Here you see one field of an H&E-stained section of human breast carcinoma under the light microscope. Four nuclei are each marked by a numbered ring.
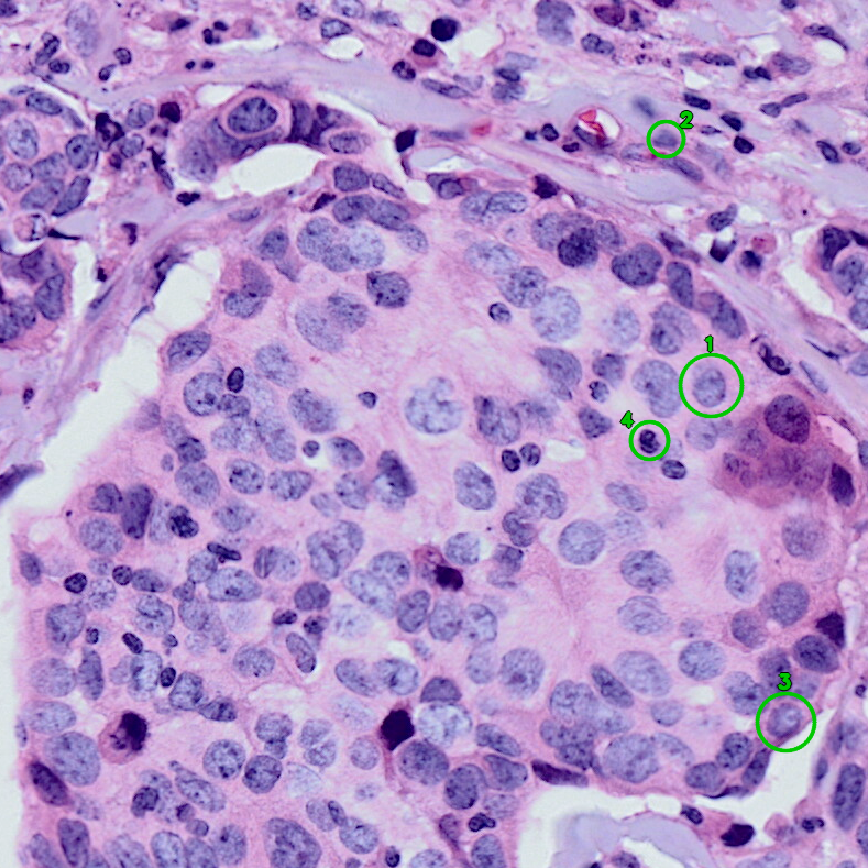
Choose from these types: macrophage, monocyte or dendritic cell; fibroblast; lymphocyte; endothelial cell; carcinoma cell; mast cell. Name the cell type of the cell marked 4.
lymphocyte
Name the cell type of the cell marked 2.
endothelial cell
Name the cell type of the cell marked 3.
carcinoma cell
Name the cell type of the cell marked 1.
carcinoma cell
